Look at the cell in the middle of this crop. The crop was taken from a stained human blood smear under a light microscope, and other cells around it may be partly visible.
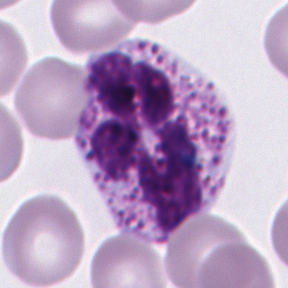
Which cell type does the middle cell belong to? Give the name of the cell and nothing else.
basophil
